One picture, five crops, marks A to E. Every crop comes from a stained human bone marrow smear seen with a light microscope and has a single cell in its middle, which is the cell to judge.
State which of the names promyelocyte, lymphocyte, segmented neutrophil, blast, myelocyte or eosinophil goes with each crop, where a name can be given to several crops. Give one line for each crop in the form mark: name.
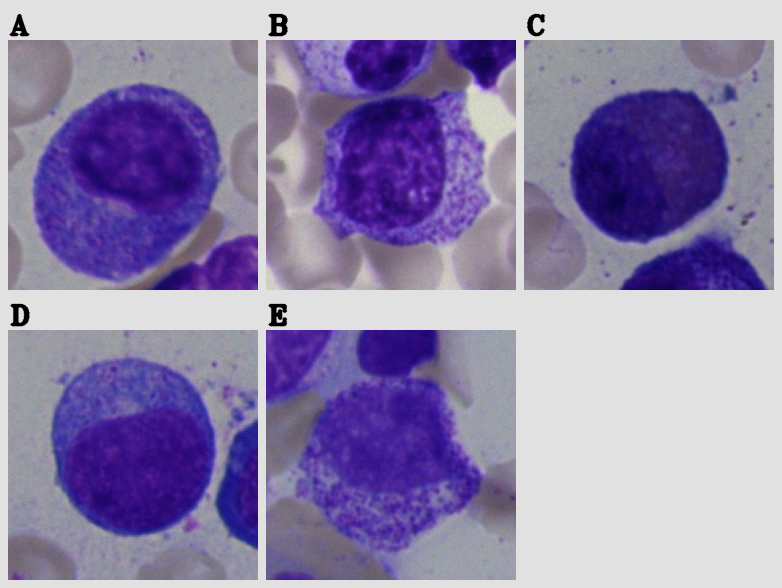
A: promyelocyte
B: myelocyte
C: eosinophil
D: promyelocyte
E: myelocyte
